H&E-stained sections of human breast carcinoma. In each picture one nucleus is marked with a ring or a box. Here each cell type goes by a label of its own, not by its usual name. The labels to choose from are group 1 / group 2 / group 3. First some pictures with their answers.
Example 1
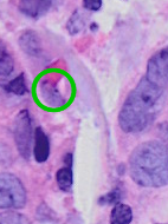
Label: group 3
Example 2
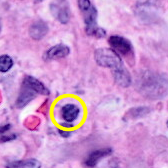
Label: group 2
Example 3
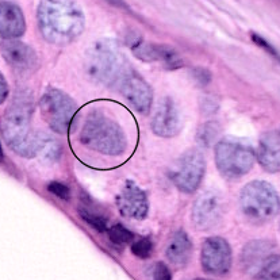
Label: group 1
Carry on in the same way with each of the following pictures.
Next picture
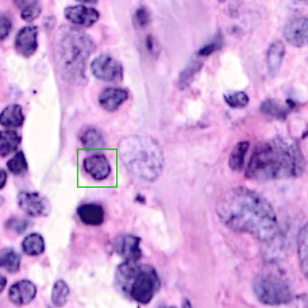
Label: group 2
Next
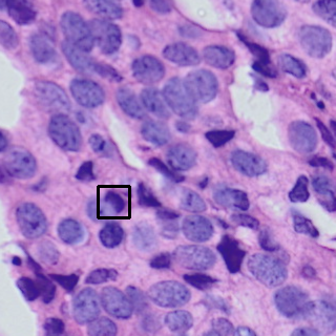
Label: group 1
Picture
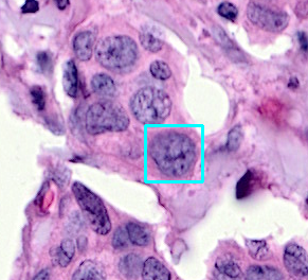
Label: group 1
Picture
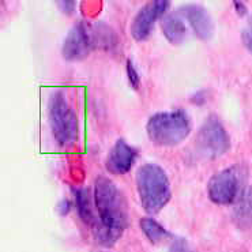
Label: group 3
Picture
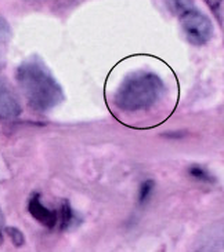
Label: group 1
